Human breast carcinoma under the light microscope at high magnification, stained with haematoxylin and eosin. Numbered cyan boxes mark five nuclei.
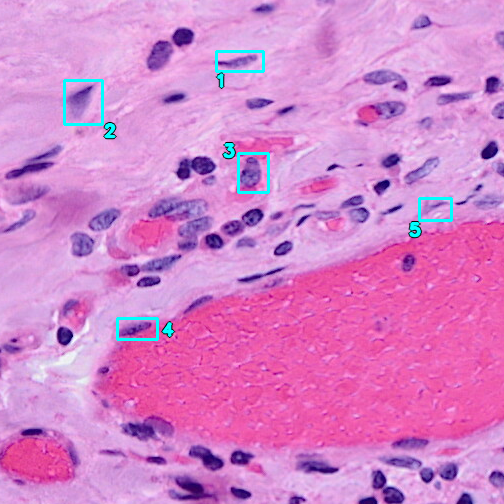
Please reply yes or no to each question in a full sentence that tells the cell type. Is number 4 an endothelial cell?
Yes, that is correct: the cell numbered 4 is an endothelial cell.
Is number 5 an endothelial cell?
No, it's not an endothelial cell at number 5; that cell is a fibroblast.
